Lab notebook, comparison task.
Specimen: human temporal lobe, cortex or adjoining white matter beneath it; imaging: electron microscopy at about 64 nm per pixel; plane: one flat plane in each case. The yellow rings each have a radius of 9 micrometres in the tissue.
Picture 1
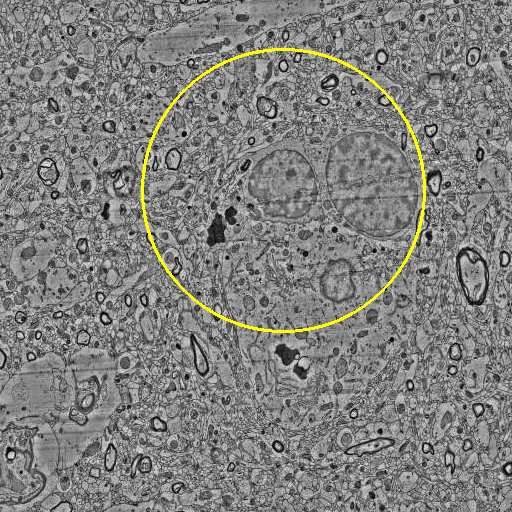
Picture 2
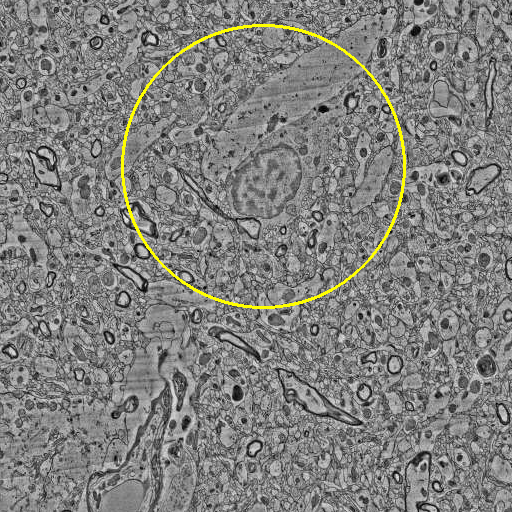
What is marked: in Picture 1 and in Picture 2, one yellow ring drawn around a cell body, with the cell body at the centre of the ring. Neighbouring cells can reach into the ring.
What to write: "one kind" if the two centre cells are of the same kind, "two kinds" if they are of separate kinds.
one kind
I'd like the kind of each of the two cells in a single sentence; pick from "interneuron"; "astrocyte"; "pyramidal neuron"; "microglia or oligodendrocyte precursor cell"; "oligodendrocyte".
The second cell is an oligodendrocyte, just as the first is.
